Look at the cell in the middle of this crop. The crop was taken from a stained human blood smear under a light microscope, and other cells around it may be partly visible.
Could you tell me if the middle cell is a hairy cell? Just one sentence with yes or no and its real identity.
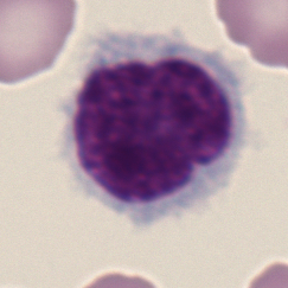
Yes, the cell at the centre of the field is a hairy cell.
